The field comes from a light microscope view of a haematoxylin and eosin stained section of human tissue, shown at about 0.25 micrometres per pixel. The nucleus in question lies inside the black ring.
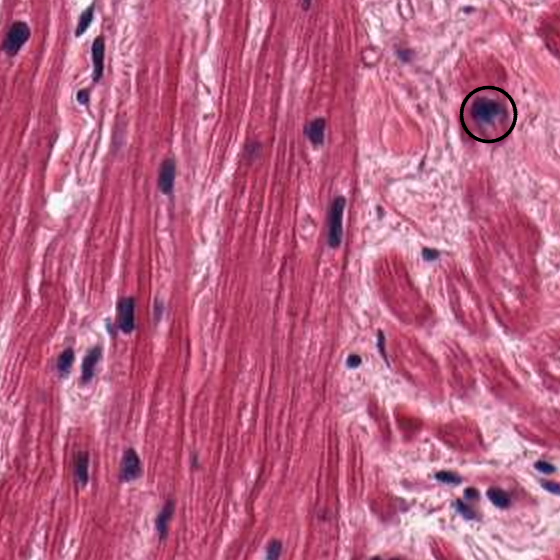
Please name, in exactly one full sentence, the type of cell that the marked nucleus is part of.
In this picture, the marked nucleus belongs to a cardiomyocyte.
